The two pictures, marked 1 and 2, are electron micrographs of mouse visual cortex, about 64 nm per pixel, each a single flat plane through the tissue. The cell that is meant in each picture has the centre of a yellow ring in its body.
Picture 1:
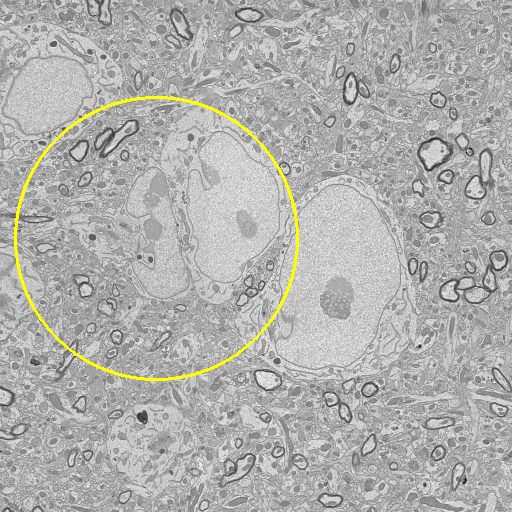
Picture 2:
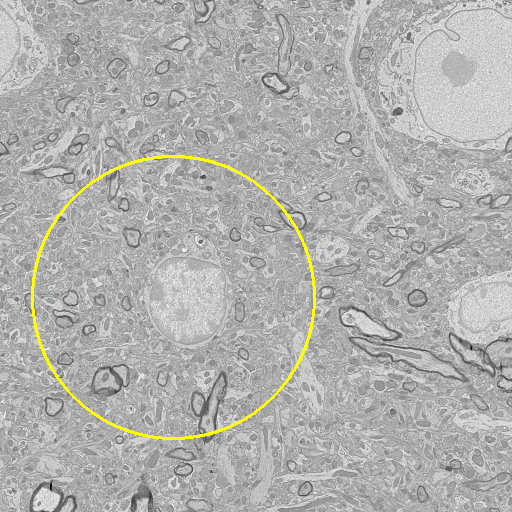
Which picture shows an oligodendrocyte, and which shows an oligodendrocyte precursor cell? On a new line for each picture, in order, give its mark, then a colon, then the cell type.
1: oligodendrocyte precursor cell
2: oligodendrocyte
